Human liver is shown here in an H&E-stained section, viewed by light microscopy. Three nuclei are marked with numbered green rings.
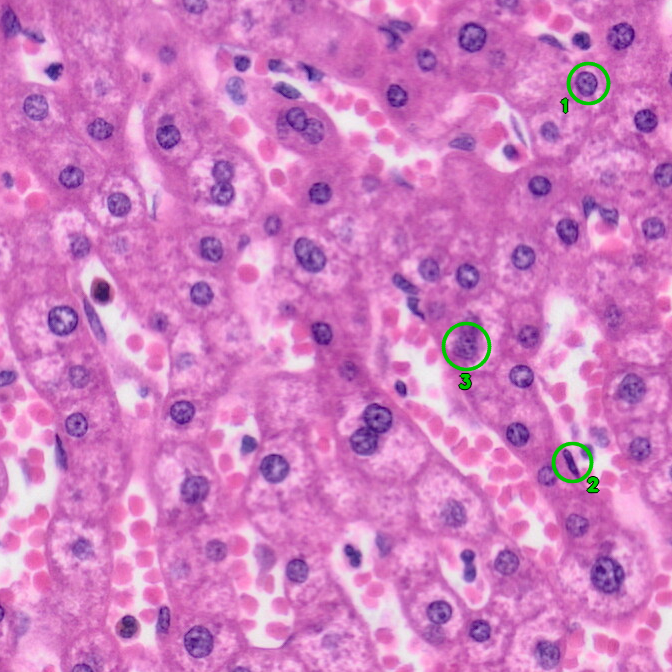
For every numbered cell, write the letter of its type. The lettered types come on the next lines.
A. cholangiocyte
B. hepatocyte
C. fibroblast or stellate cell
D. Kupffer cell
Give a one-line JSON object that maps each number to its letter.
{"1": "B", "2": "C", "3": "B"}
